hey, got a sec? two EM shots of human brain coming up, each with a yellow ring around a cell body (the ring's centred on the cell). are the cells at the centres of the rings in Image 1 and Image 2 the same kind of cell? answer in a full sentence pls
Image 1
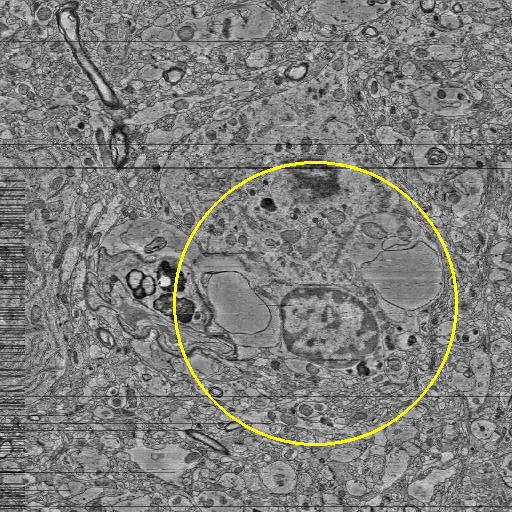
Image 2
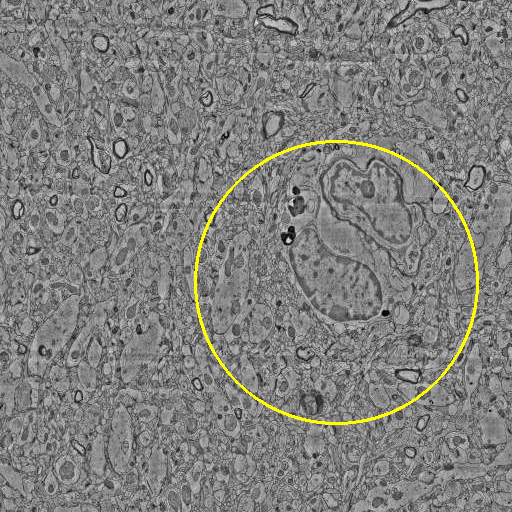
Yes, both are the same kind of cell.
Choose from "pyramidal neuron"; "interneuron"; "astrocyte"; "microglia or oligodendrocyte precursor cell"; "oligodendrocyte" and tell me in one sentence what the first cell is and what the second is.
Both pictures show a microglial cell or oligodendrocyte precursor cell at the centre of the ring.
